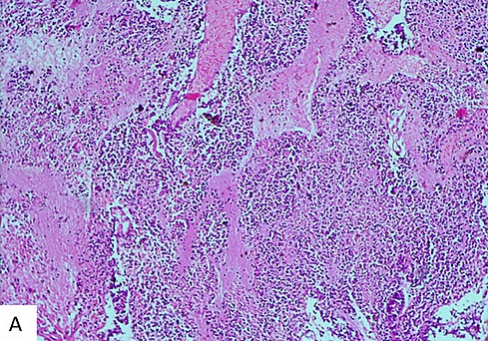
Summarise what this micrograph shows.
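At low magnification this tumor shows sheets of densely packed small blue cells lying diffusely, interrupted by broad irregular pale pink zones. The blue areas owe their colour to closely set dark nuclei with very little cytoplasm between them. Small dark specks of pigment or debris lie here and there within or beside the necrotic areas.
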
